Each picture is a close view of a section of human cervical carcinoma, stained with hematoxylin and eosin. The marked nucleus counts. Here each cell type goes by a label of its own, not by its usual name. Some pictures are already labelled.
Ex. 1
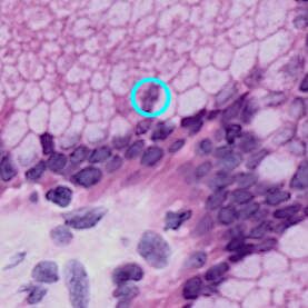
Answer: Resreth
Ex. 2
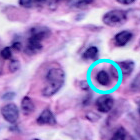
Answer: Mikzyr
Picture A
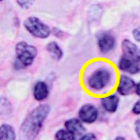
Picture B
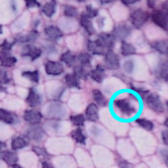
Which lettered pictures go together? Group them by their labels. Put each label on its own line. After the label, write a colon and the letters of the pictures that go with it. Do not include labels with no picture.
Resreth: B
Mikzyr: A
